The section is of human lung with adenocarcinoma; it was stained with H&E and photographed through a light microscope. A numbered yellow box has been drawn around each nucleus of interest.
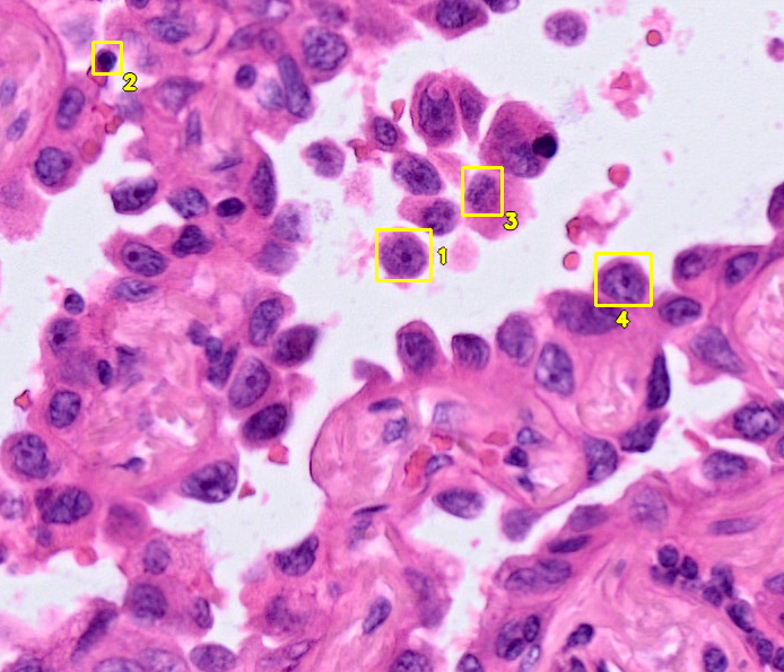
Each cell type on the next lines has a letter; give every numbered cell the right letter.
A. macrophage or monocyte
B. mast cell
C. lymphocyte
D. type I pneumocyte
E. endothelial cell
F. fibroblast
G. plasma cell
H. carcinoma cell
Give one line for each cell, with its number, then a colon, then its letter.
1: H
2: C
3: H
4: H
